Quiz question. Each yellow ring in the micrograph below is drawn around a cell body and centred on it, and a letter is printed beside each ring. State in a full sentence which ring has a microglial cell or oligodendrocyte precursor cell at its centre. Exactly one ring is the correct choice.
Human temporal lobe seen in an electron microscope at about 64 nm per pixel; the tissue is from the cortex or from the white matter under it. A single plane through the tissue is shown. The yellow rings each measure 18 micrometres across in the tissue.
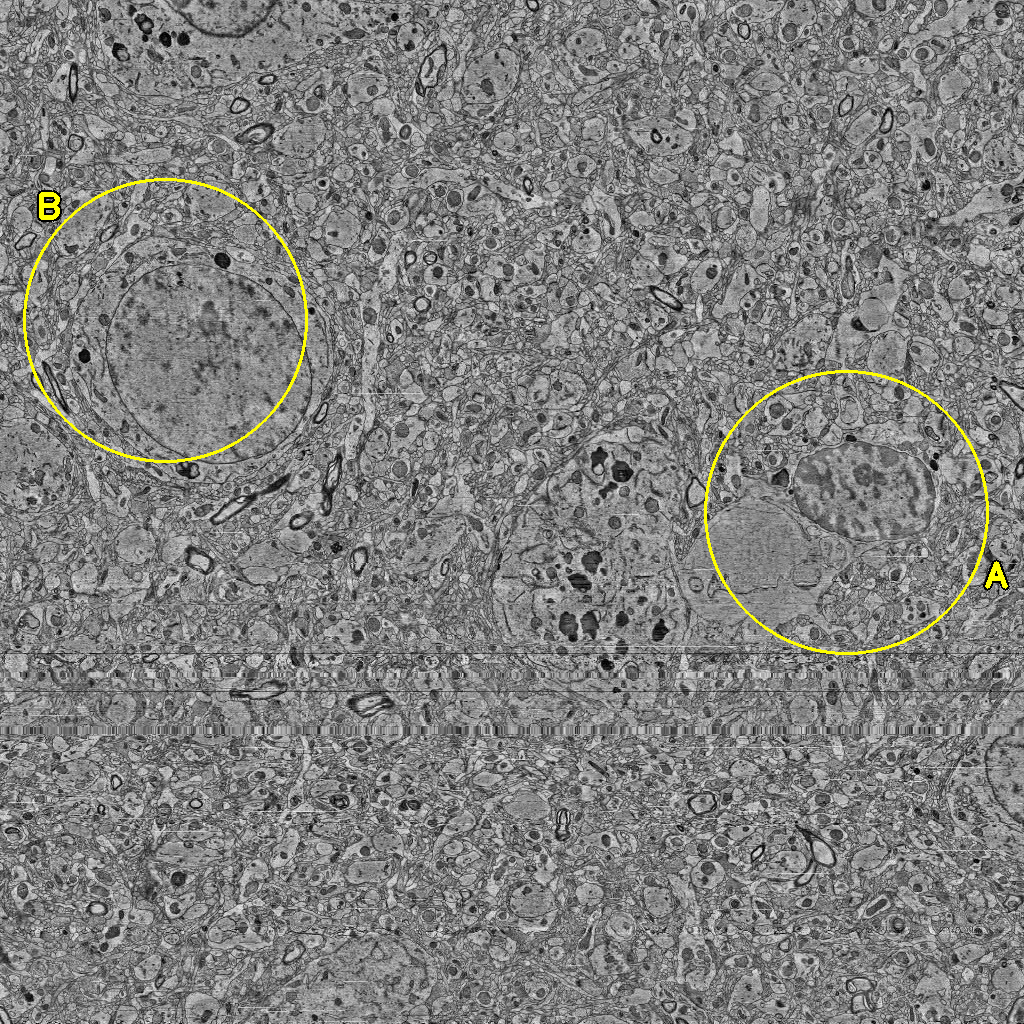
The correct ring is ring A.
